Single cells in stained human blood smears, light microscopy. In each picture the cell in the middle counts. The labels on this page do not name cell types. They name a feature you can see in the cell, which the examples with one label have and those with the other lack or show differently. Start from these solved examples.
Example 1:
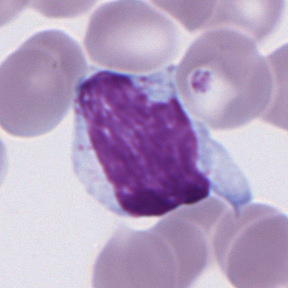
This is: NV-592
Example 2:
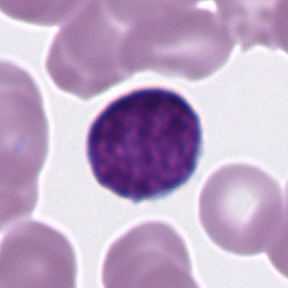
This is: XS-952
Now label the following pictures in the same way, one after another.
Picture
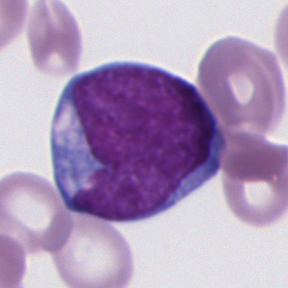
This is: XS-952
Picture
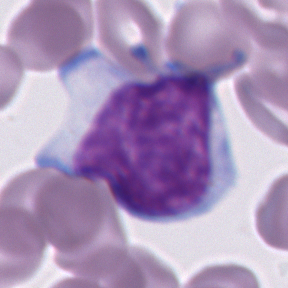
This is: NV-592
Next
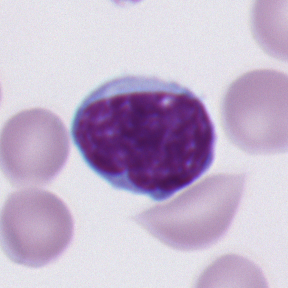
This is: XS-952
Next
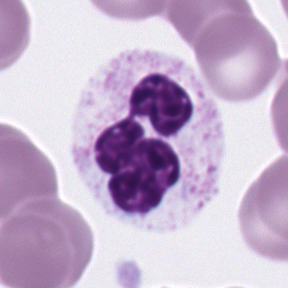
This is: XS-952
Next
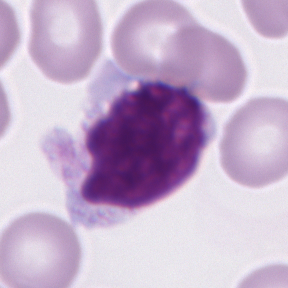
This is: NV-592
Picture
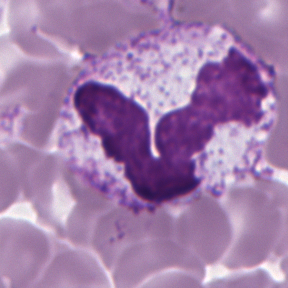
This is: NV-592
